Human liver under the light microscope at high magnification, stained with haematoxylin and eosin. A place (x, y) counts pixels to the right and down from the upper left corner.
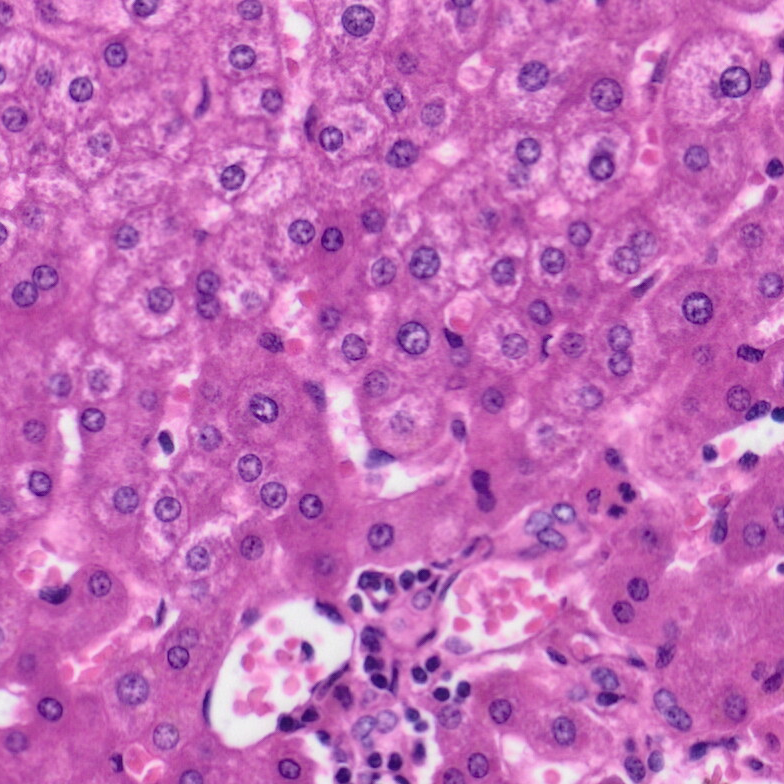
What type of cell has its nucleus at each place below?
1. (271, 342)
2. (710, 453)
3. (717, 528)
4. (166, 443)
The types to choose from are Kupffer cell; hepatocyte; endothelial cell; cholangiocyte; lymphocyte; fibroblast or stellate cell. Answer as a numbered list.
1. fibroblast or stellate cell
2. lymphocyte
3. fibroblast or stellate cell
4. lymphocyte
